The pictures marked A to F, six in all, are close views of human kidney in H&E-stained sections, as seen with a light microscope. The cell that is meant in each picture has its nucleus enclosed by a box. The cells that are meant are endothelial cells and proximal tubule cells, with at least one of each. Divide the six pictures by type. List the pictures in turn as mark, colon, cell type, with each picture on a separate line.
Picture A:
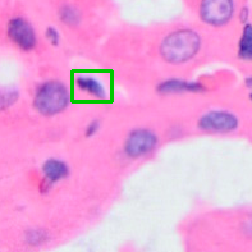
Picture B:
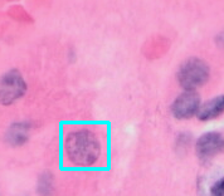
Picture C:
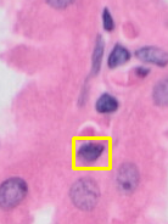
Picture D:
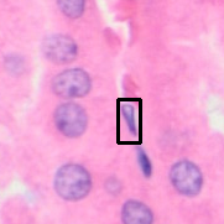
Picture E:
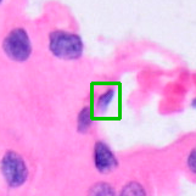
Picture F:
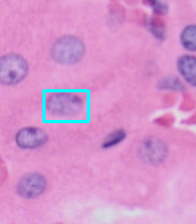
A: endothelial cell
B: proximal tubule cell
C: endothelial cell
D: endothelial cell
E: endothelial cell
F: proximal tubule cell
